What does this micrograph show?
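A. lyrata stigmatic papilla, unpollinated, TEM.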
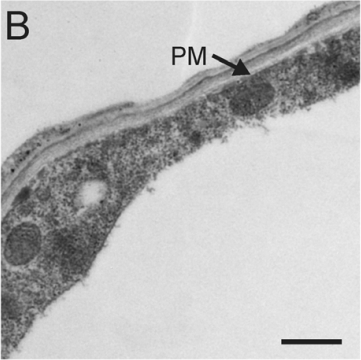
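A layered cell wall runs along the top as a band of grey lines. Beneath it lies a thin layer of granular cytoplasm containing a few rounded, dense organelles with internal membranes. Below the cytoplasm the pale, nearly empty vacuole fills most of the cell. The membrane along the wall appears smooth, without vesicles budding or fusing.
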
